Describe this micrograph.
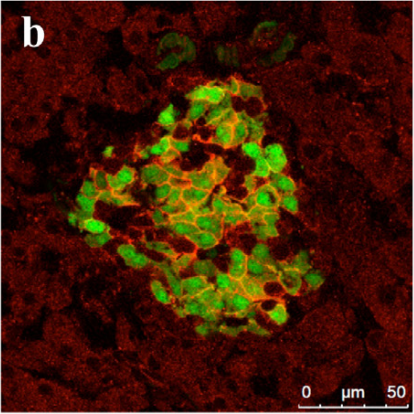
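This is a pancreatic islet, a compact rounded cluster of endocrine cells set in granular exocrine tissue. Most cells in the cluster are filled with green, and nearly every cell border is traced by a thin red line, giving a honeycomb pattern. The surrounding acinar tissue shows only a faint, speckled red background without such crisp outlines.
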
